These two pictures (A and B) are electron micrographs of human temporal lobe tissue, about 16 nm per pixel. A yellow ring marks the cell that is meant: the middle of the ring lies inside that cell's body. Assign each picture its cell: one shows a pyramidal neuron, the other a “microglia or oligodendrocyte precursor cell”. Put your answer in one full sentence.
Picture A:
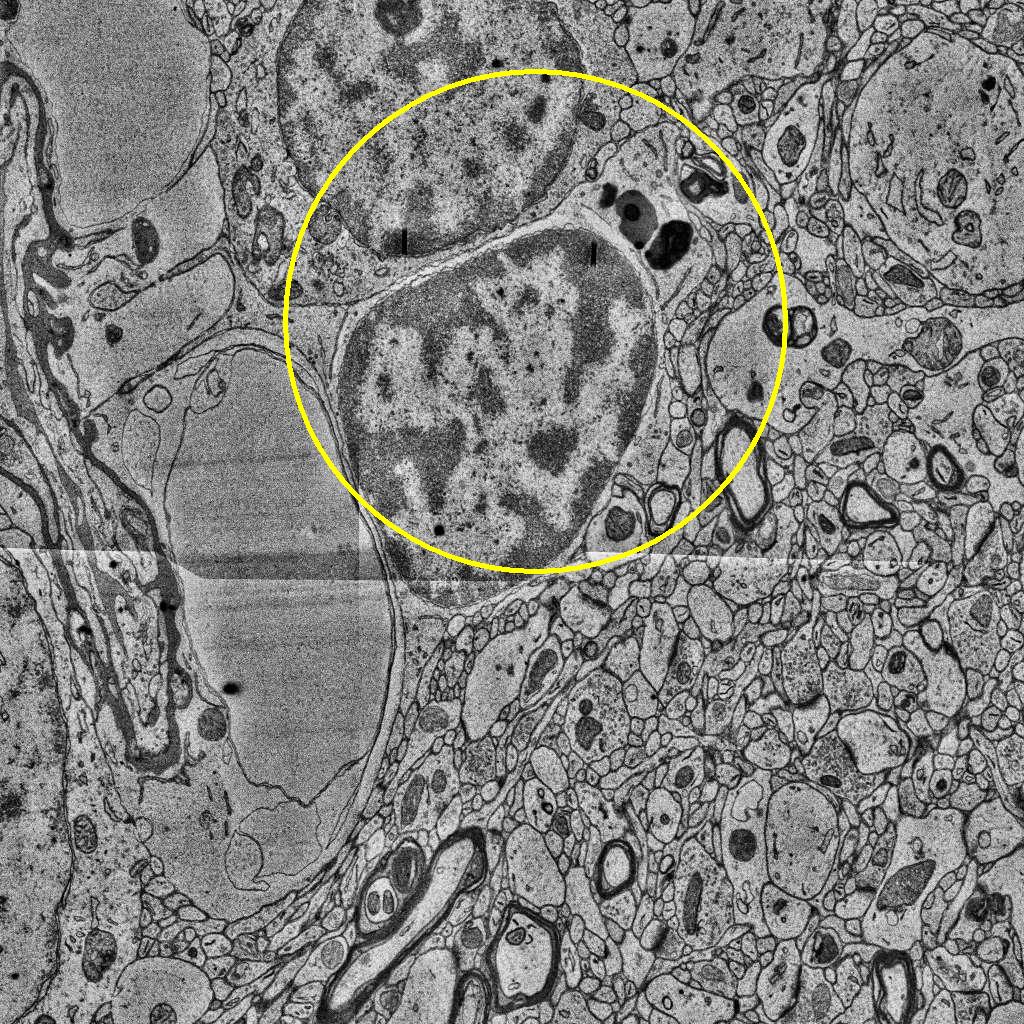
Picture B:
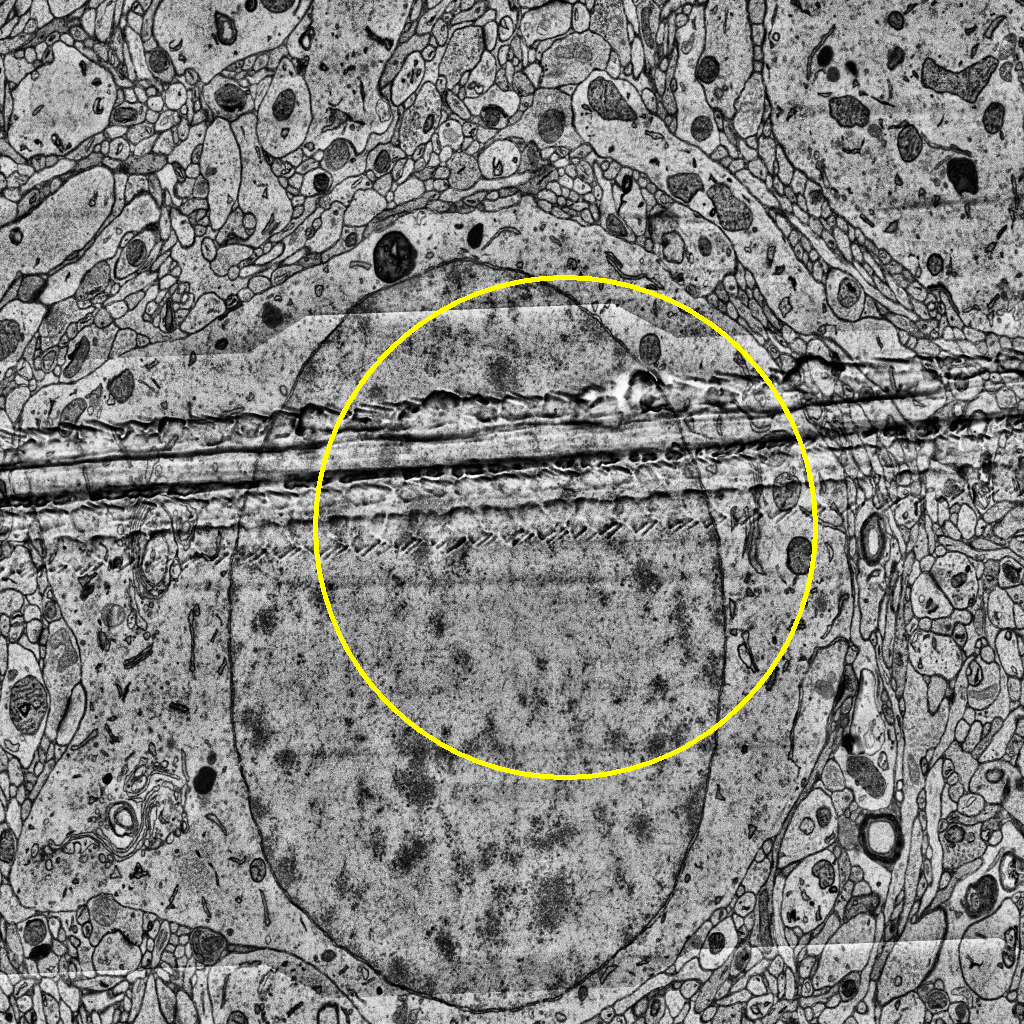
In picture A the cell is a “microglia or oligodendrocyte precursor cell”; in picture B, a pyramidal neuron.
